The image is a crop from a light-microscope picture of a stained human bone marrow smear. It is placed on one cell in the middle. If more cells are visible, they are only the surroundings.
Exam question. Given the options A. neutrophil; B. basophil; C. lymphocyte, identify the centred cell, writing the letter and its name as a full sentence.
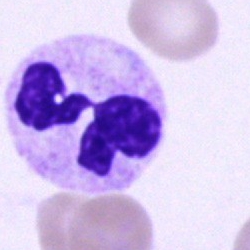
Option A, which names the central cell as a neutrophil, is correct.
